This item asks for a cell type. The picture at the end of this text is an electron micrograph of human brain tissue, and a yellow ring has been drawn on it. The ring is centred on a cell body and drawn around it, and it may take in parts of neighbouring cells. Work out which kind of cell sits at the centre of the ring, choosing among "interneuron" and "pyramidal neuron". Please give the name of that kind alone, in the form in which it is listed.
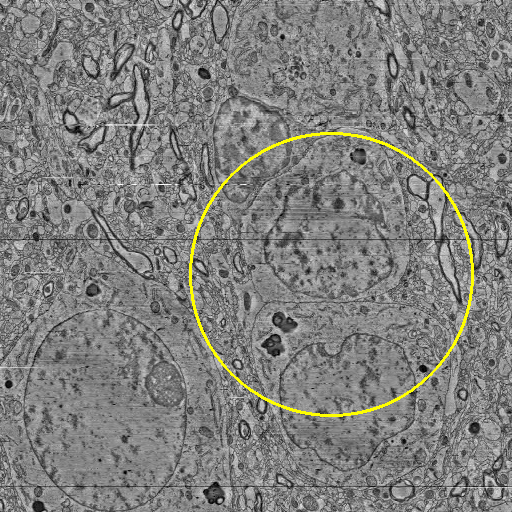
interneuron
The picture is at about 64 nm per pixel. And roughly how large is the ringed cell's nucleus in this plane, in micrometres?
Approximately 8 micrometers across in this plane.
